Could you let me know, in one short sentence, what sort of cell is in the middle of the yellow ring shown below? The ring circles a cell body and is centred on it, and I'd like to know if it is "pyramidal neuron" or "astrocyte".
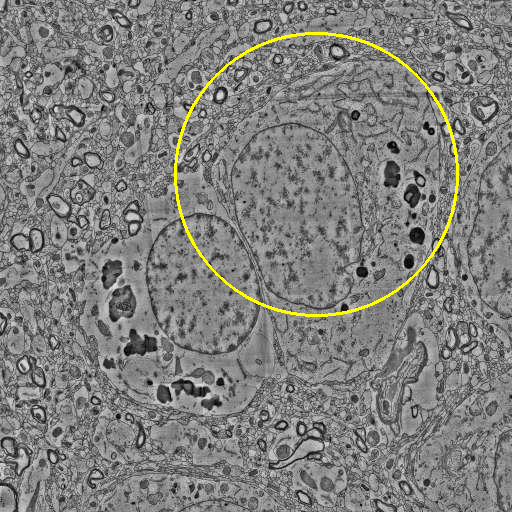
The ring circles the cell body of a pyramidal neuron.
